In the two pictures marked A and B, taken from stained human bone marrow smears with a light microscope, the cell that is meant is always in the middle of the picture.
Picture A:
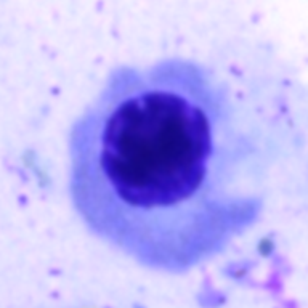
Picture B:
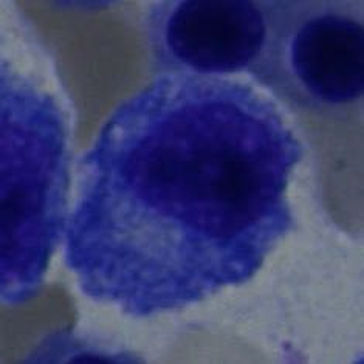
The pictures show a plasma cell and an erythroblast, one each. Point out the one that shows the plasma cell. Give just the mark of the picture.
B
